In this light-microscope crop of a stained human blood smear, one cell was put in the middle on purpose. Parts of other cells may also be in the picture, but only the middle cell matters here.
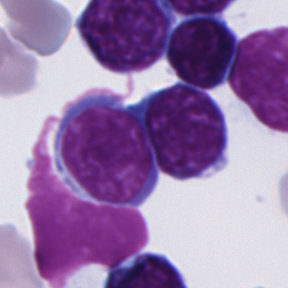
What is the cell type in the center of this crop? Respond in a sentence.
This particular crop is centered on a blast.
